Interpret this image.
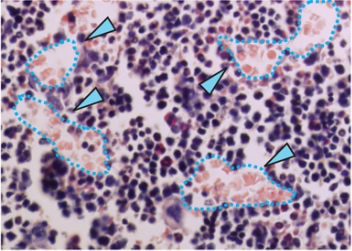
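This section of bone marrow shows blood-forming tissue crossed by wide endothelial sinusoids. The channels are packed with pink-red cells that lack nuclei. Between them lie clusters of small round cells with dark purple nuclei. A few larger cells with bigger, paler nuclei are scattered in these clusters.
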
